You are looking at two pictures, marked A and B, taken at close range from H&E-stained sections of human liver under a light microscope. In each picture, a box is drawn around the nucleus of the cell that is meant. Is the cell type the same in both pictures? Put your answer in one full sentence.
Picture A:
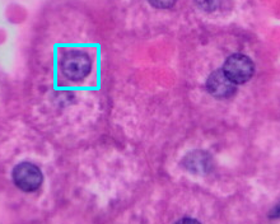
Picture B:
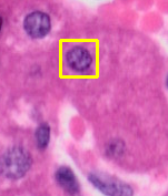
Yes, the two pictures both show hepatocytes.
